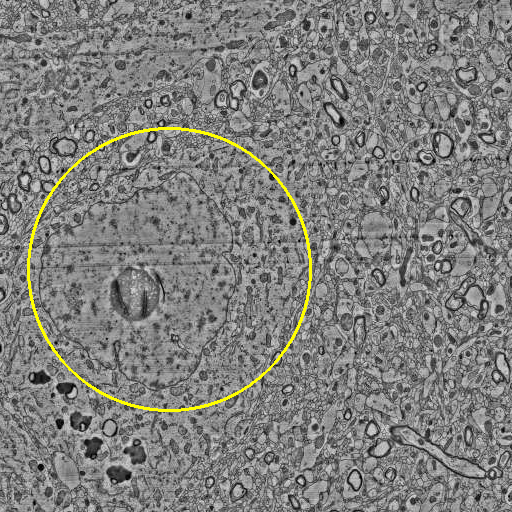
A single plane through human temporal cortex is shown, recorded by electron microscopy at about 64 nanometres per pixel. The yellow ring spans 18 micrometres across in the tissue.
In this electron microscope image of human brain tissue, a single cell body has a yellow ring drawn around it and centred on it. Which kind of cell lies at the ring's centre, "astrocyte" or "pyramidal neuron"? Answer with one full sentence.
It is a pyramidal neuron whose cell body lies at the centre of the yellow ring here.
